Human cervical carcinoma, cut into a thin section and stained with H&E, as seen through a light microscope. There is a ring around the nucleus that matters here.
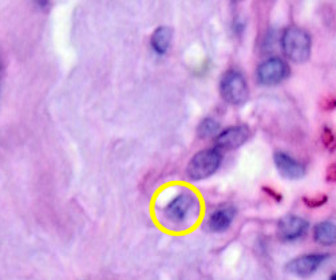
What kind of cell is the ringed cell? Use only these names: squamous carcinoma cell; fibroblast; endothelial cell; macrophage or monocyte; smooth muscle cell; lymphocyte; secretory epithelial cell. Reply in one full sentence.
Cell type answer for this item: the ringed cell is an endothelial cell.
